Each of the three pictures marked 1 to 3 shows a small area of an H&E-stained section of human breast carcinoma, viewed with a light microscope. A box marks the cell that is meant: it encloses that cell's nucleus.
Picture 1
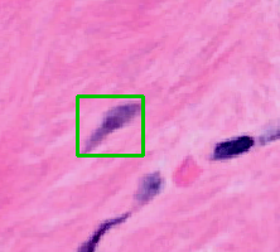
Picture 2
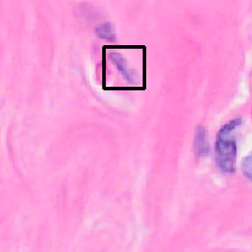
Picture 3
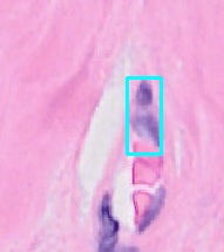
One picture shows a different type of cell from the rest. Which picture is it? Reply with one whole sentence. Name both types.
Picture 1 is the odd one out: it shows a fibroblast, while the others show endothelial cells.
